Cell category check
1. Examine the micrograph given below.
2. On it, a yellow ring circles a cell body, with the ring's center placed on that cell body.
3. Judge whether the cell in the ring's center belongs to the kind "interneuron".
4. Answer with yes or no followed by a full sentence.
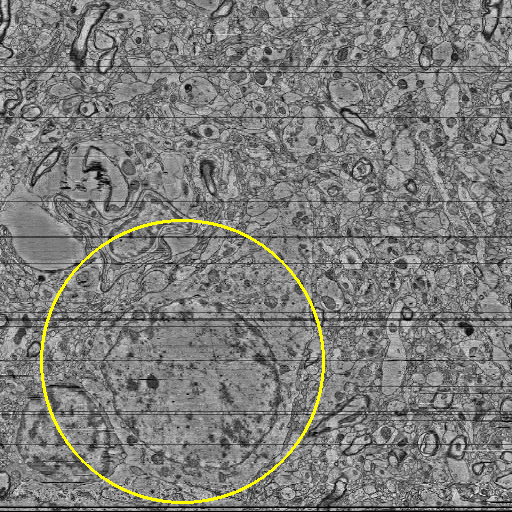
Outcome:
Yes, the cell at the center of the yellow ring belongs to that kind.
